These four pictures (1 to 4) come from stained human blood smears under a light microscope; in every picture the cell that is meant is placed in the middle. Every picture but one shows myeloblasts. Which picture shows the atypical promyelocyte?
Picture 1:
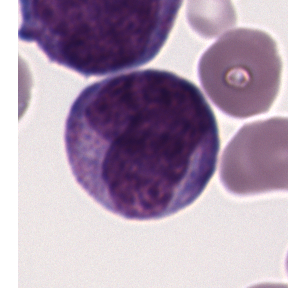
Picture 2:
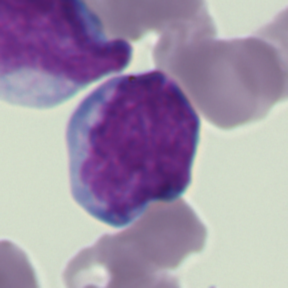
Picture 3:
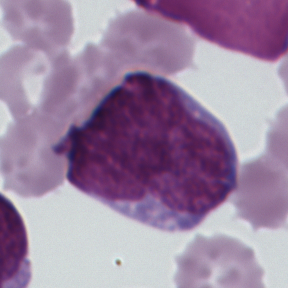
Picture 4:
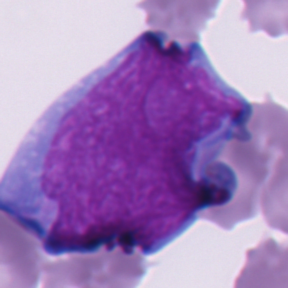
1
